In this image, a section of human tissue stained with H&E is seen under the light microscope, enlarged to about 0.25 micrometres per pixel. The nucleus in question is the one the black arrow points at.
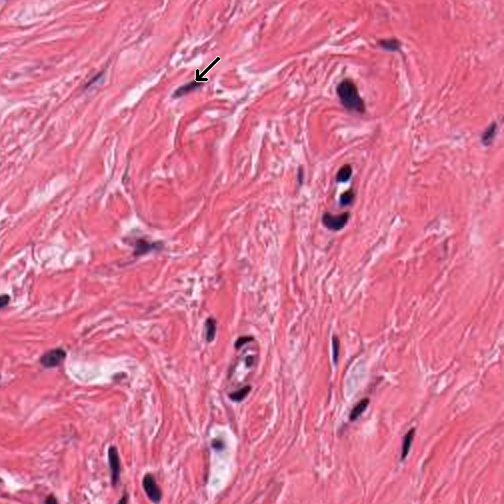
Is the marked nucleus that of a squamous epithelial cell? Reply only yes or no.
no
